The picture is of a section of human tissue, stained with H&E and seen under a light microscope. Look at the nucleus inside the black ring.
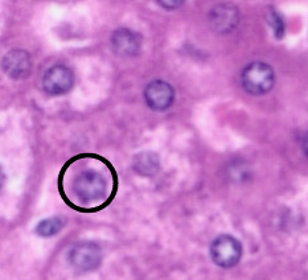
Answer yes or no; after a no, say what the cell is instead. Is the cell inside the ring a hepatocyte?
Yes.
